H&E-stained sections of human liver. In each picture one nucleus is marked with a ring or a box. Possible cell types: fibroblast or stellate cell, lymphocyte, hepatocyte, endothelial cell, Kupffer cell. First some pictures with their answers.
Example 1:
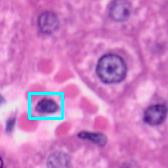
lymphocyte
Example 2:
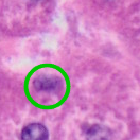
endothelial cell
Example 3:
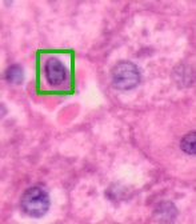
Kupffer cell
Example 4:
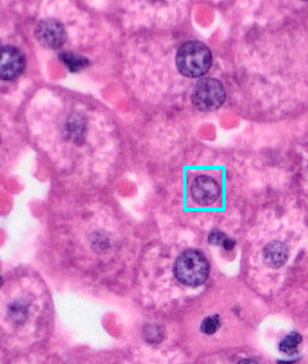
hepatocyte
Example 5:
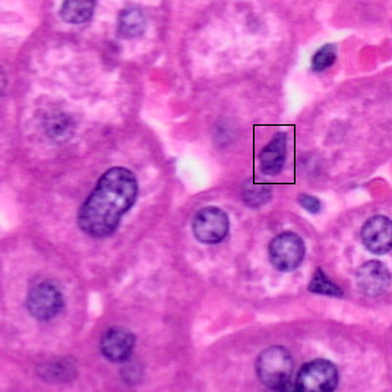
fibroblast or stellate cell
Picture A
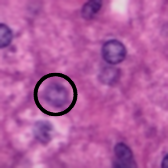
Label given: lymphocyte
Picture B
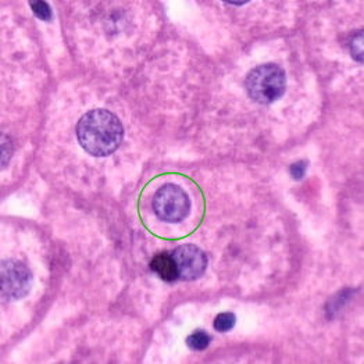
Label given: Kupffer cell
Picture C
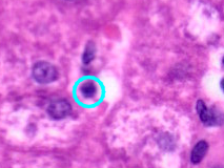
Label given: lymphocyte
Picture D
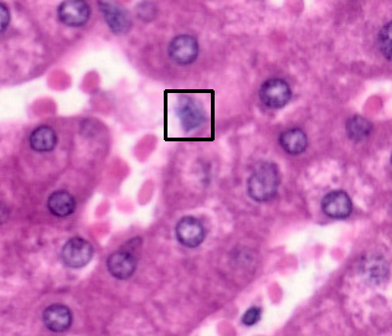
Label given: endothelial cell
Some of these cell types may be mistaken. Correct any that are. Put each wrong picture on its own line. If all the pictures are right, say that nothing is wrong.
A: not lymphocyte but hepatocyte
B: not Kupffer cell but hepatocyte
